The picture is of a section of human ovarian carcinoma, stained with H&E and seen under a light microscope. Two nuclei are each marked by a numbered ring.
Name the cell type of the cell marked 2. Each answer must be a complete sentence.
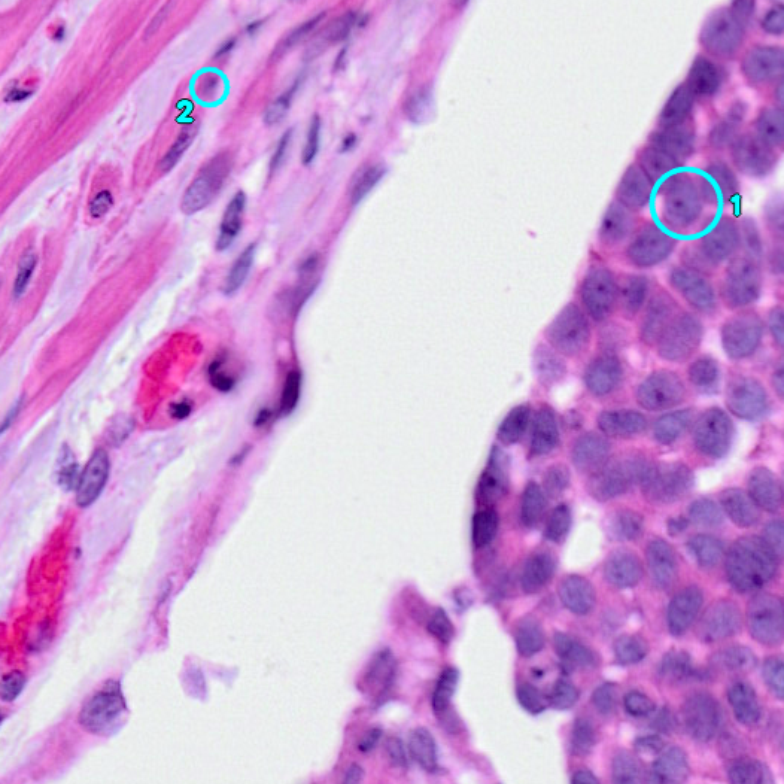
Numbered cell 2 is a smooth muscle cell in this tissue section.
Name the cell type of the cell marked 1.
What the number 1 marks in this field is a carcinoma cell.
